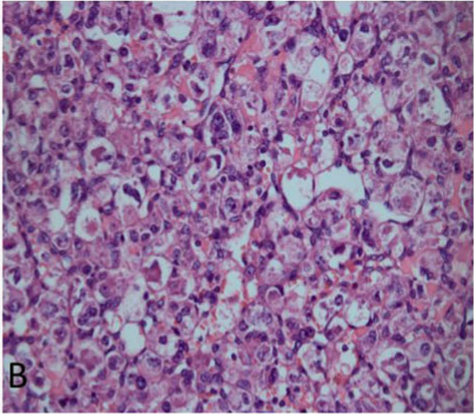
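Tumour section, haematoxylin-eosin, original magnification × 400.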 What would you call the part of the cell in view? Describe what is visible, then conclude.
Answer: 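Nuclei sit to one side of the pink cytoplasm in many cells.
Conclusion: prominent nucleoli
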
